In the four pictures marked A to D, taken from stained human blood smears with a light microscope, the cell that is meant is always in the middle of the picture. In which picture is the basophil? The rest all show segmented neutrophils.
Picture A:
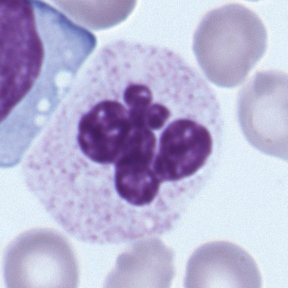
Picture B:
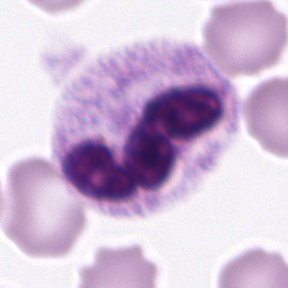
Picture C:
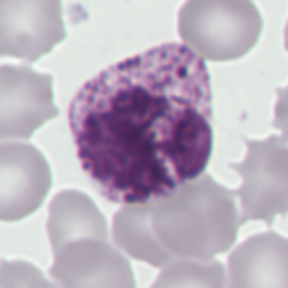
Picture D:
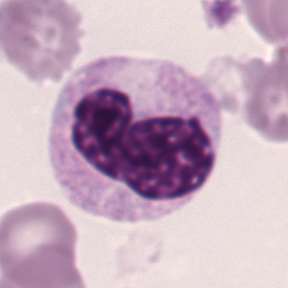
C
